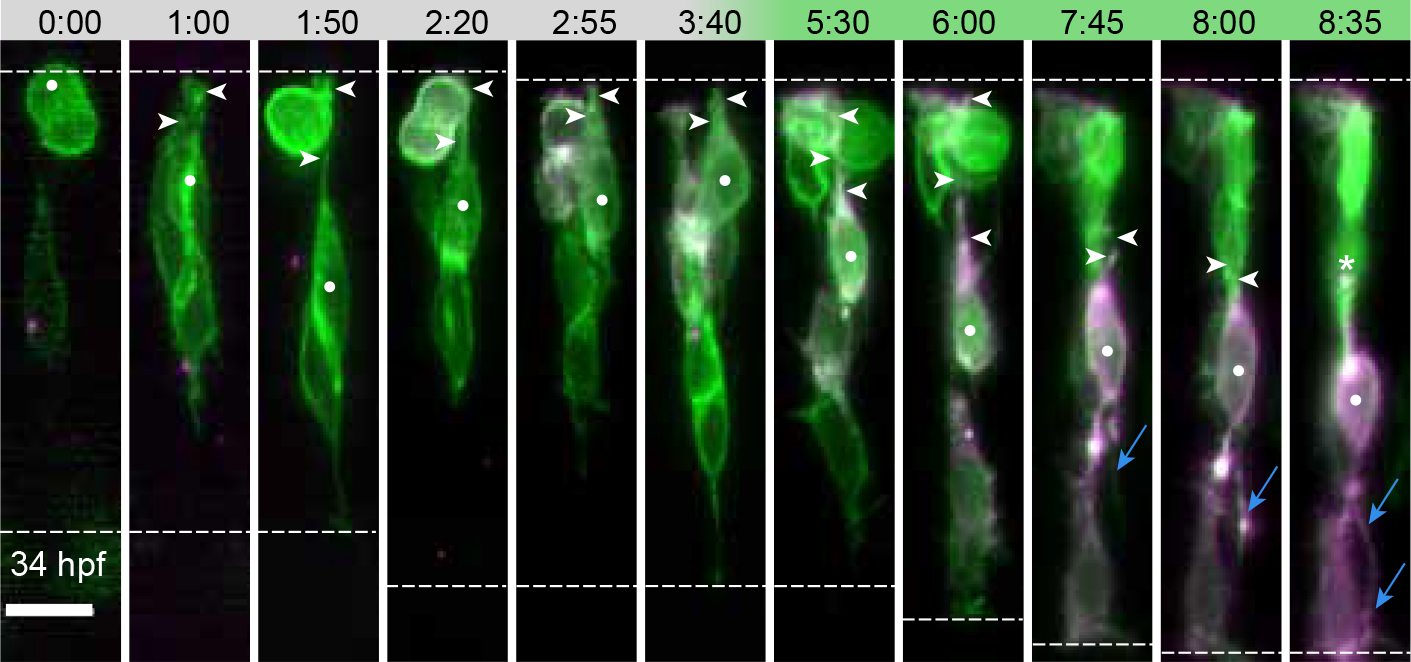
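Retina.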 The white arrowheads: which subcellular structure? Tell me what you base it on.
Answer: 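Apical process. The arrowheads flank a thin stalk running from the marked cell body toward the upper dashed line.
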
